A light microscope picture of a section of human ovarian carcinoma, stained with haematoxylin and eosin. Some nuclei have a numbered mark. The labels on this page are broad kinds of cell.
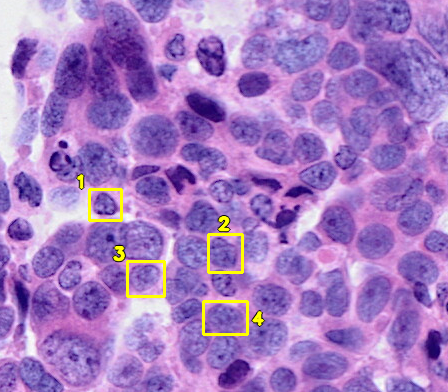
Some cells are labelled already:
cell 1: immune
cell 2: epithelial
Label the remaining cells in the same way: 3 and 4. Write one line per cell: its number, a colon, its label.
3: epithelial
4: epithelial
